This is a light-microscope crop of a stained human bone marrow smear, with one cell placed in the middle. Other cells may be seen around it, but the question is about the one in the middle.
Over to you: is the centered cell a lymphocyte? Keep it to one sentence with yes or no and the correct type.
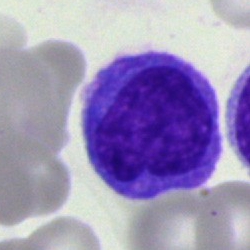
No, the central cell is a monocyte; it should not be labelled a lymphocyte.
